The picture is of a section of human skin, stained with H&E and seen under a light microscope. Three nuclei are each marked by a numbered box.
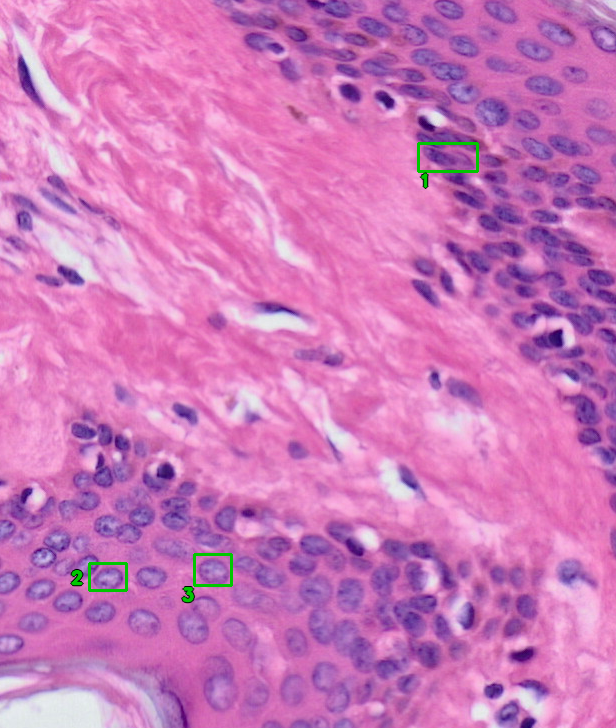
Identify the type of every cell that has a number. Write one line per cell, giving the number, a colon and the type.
1: basal keratinocyte
2: suprabasal keratinocyte
3: suprabasal keratinocyte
